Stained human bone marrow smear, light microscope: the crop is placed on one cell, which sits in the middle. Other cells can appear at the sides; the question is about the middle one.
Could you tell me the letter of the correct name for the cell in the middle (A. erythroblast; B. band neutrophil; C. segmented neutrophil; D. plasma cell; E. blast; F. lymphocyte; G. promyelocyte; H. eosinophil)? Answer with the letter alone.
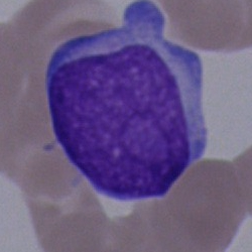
E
